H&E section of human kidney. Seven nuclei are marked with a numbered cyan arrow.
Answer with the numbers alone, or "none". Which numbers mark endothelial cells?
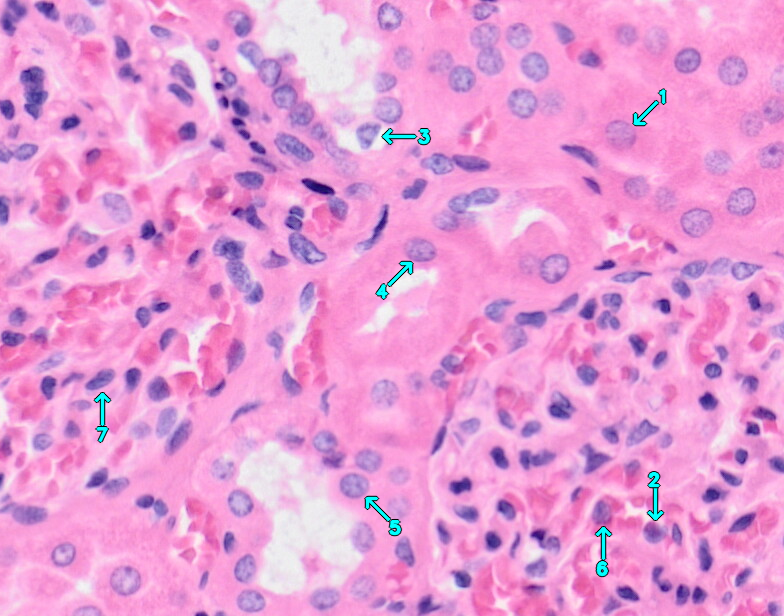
2, 6, 7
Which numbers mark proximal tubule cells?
1, 4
